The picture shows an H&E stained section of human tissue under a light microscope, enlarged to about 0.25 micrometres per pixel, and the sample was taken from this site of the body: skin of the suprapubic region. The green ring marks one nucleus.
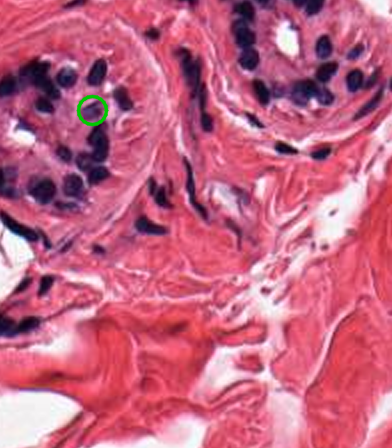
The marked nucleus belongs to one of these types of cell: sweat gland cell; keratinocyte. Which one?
sweat gland cell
